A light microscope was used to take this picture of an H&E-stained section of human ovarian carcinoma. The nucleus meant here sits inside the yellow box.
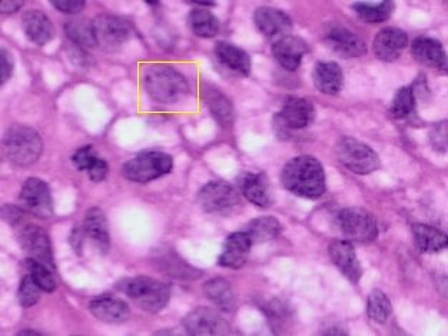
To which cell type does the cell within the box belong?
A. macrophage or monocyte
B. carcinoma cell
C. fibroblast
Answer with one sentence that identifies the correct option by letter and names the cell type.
Option B correctly labels the cell within the box as a carcinoma cell.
